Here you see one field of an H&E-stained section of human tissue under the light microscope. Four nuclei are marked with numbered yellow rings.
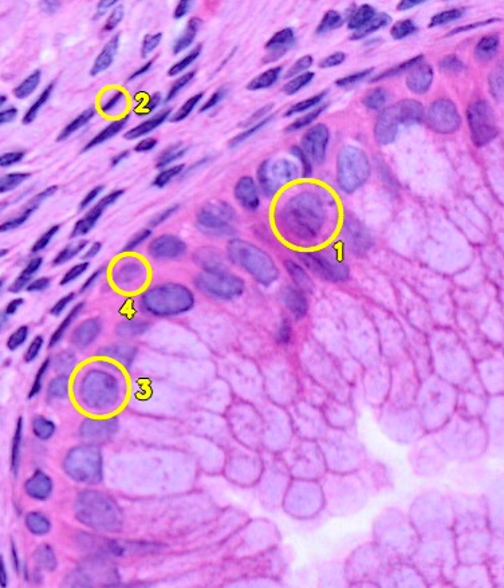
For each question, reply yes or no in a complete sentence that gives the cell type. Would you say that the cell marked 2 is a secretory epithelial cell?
No, the cell denoted 2 is a fibroblast rather than a secretory epithelial cell.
